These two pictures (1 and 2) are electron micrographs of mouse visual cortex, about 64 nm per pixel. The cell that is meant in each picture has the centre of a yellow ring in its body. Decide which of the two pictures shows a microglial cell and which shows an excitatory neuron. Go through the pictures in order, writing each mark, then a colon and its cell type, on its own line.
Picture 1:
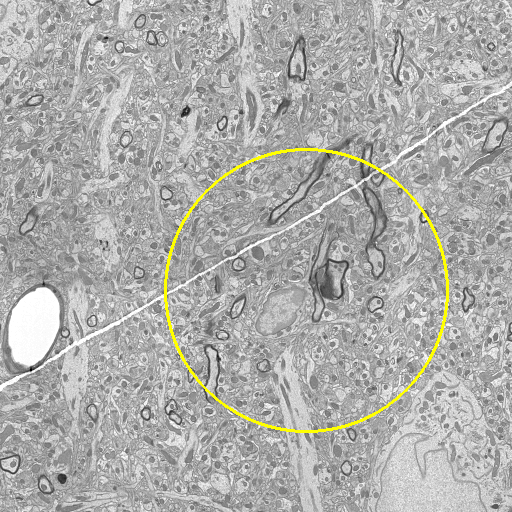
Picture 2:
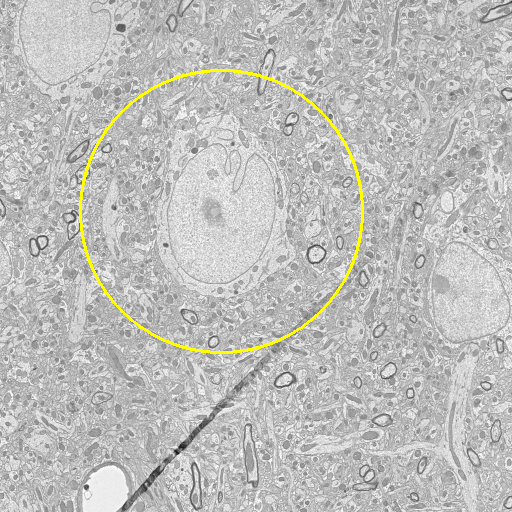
1: microglial cell
2: excitatory neuron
